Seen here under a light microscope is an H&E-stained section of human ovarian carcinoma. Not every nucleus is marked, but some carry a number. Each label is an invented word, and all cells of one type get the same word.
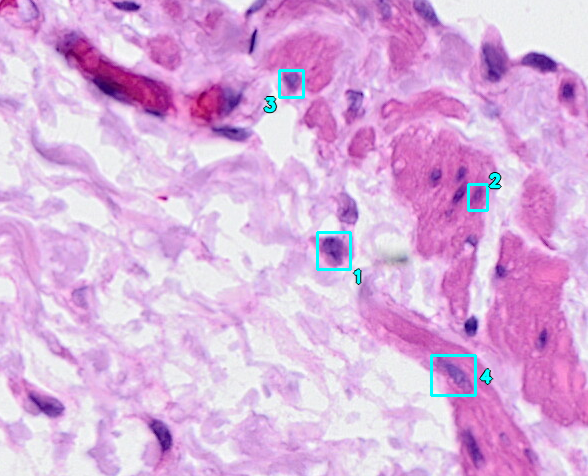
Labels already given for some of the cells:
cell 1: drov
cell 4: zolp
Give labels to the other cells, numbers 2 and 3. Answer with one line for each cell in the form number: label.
2: zolp
3: zolp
